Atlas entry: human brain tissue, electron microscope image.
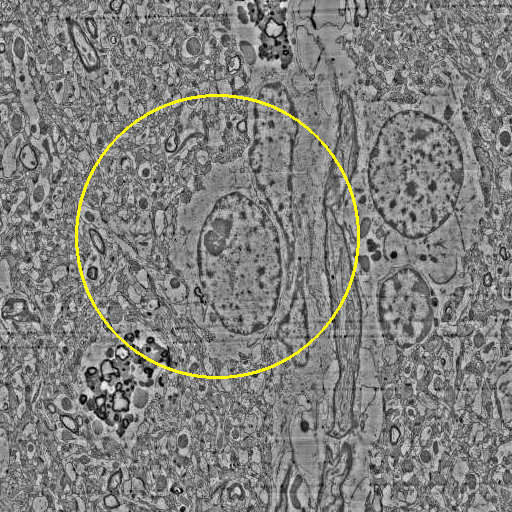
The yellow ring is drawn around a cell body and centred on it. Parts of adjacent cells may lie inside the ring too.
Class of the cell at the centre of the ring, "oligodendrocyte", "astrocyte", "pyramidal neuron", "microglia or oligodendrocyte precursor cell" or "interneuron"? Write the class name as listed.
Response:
astrocyte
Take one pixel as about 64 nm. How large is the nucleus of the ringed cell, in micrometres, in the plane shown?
The ringed cell's nucleus is about 10 micrometres long and 7 micrometres wide in this plane.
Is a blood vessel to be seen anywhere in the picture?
Yes, a blood vessel shows in the picture.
